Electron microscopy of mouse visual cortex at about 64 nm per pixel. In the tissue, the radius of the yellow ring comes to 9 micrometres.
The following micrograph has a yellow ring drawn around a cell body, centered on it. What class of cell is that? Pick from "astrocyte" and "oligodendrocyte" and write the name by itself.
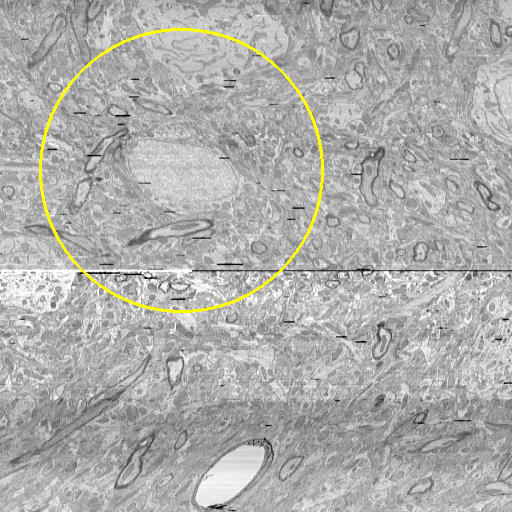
astrocyte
